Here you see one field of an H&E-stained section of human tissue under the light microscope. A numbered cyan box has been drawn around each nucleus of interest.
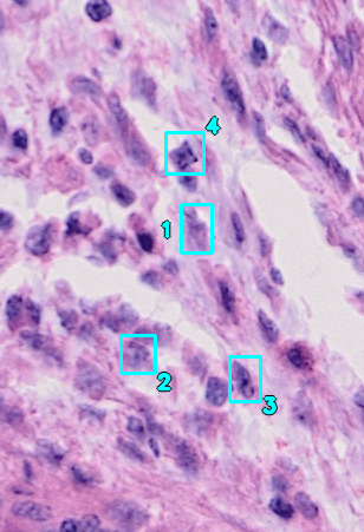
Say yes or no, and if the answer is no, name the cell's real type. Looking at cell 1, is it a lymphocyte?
No, it is a fibroblast.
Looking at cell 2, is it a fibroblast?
Yes.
